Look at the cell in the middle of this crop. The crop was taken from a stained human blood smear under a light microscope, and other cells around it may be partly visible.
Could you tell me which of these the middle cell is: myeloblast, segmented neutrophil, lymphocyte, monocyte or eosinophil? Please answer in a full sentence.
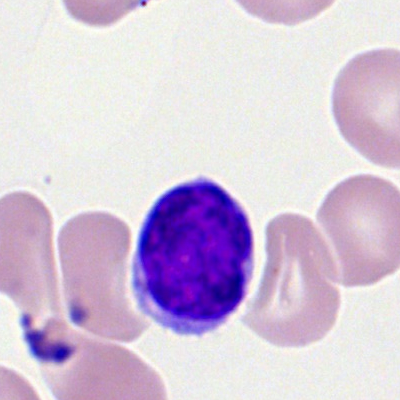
The cell of interest, in the center, is a lymphocyte.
